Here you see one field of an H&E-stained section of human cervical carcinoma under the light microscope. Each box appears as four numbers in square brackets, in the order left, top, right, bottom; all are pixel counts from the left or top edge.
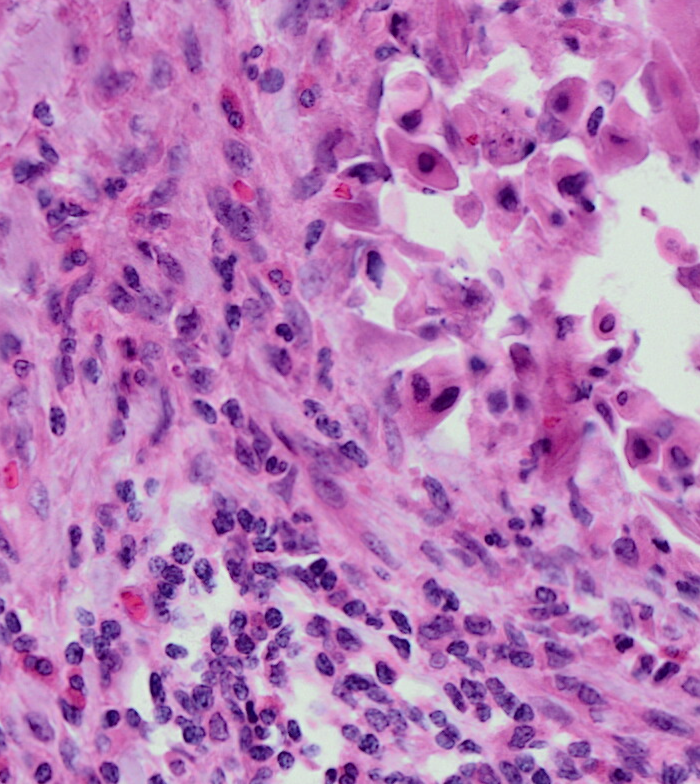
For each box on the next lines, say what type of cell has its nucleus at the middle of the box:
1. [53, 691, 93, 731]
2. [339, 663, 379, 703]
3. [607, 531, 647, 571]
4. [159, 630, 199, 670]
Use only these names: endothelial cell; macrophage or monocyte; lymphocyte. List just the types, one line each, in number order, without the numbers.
lymphocyte
lymphocyte
macrophage or monocyte
lymphocyte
